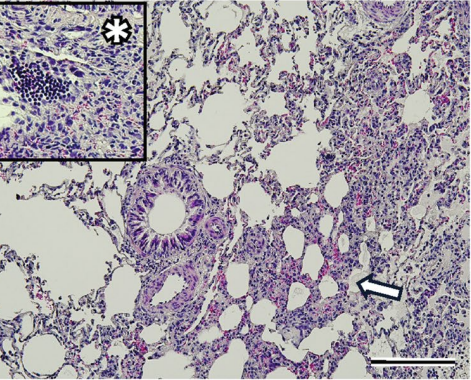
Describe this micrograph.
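This is lung in which much of the tissue has become dense: in the lower right the alveolar walls are broad and packed with purple nuclei, so the airspaces there are small or lost. Toward the left the airspaces are still open, some of them enlarged, with thinner walls between them. A bronchiole with its folded epithelium sits near the centre beside a vessel. The inset shows a thickened wall with a tight cluster of small, dark, round nuclei typical of an inflammatory cell infiltrate.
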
